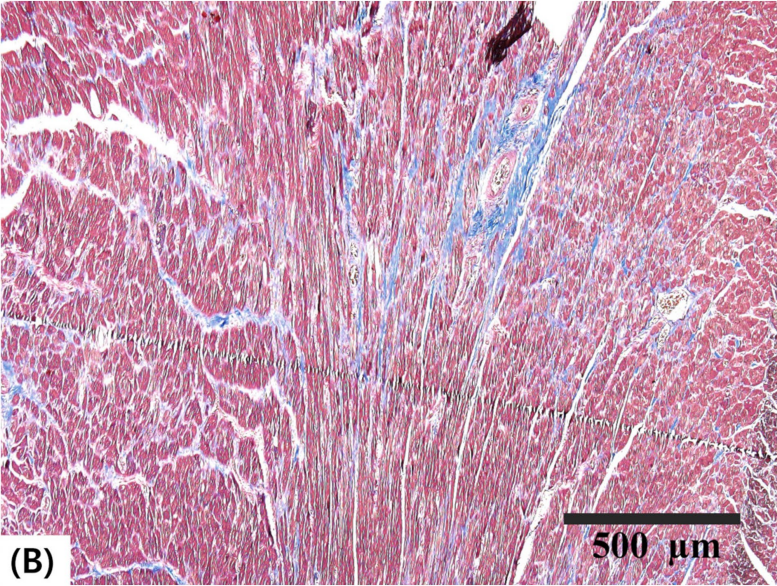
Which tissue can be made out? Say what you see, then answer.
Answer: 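Myocardium. Red-stained muscle fibres are arranged in branching, parallel bundles. Small vessels lie between the fibre bundles.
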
